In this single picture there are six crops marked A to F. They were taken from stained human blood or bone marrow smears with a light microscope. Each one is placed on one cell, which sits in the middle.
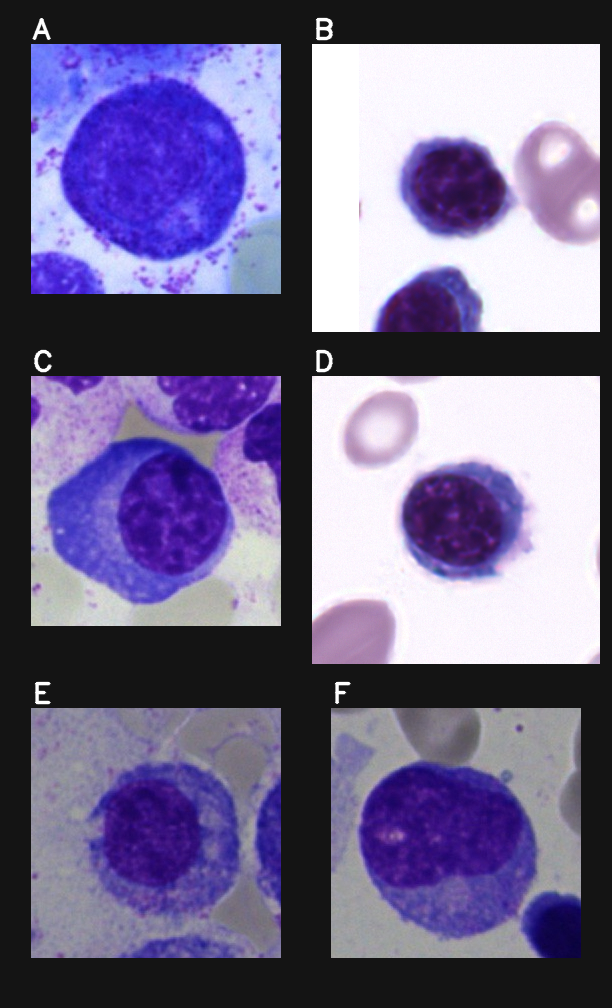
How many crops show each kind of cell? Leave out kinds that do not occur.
promyelocyte: 3
plasma cell: 3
